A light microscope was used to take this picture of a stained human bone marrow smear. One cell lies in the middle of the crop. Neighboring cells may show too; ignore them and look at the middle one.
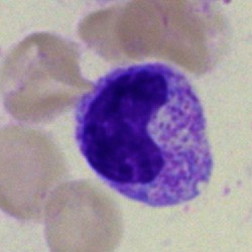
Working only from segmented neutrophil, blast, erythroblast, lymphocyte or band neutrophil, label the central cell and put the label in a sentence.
The cell that lies at the centre of the crop is a band neutrophil.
